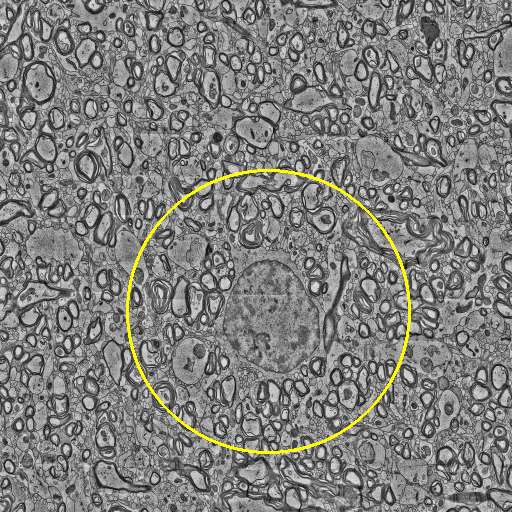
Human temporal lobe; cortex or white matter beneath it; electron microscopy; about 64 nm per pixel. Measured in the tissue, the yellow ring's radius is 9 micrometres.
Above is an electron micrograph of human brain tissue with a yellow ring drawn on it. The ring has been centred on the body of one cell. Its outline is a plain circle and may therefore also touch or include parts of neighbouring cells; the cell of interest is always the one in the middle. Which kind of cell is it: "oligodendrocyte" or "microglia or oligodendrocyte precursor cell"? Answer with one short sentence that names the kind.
The ring's central cell body is that of an oligodendrocyte.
